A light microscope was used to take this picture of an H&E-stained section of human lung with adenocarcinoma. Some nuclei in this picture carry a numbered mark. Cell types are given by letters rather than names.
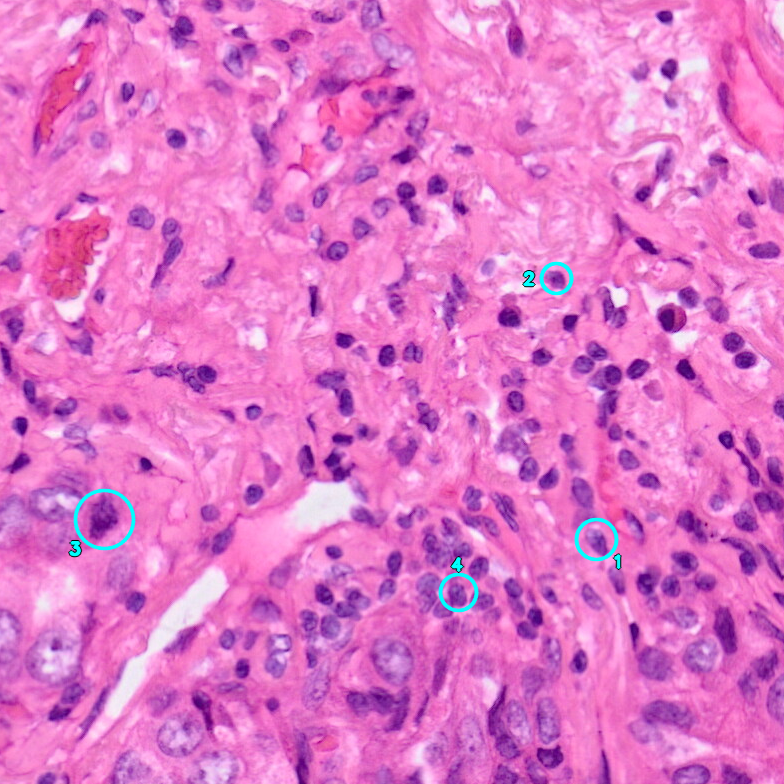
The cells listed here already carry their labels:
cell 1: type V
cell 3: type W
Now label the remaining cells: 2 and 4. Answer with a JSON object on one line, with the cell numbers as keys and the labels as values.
{"2": "type V", "4": "type V"}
